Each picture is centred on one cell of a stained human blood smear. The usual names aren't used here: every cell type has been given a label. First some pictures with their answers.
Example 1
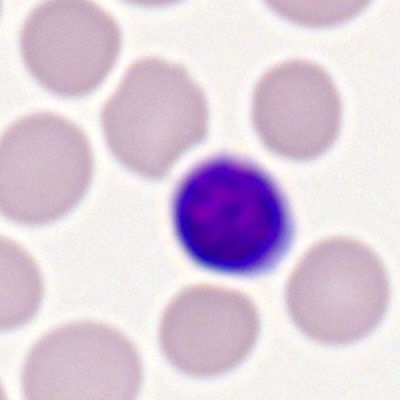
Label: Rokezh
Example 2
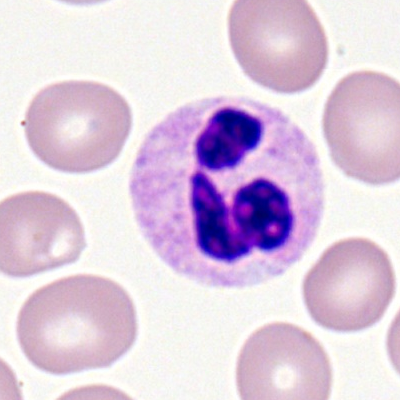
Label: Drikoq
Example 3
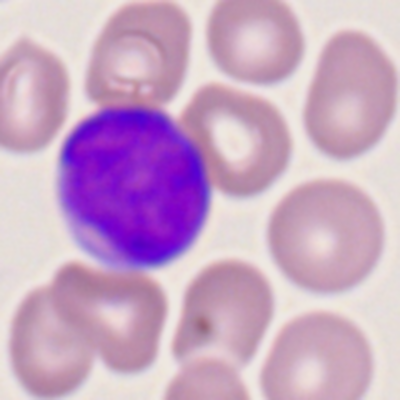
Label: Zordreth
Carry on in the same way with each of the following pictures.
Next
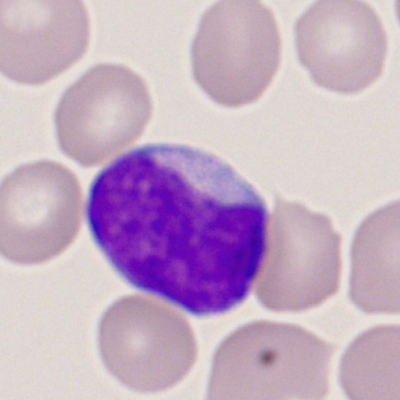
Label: Zordreth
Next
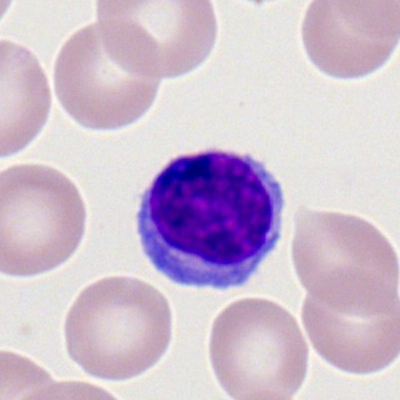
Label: Rokezh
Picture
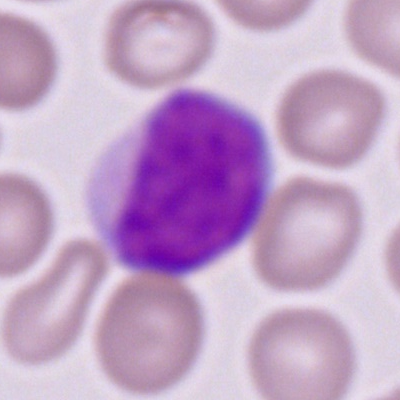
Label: Zordreth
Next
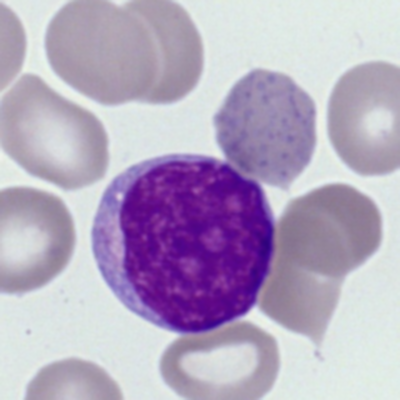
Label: Zordreth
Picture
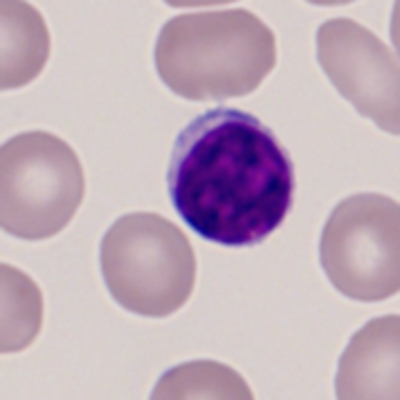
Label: Rokezh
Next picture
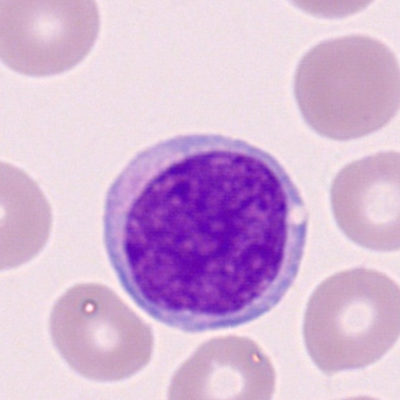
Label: Zordreth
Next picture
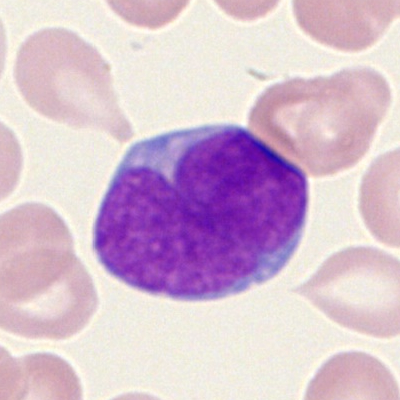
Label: Zordreth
